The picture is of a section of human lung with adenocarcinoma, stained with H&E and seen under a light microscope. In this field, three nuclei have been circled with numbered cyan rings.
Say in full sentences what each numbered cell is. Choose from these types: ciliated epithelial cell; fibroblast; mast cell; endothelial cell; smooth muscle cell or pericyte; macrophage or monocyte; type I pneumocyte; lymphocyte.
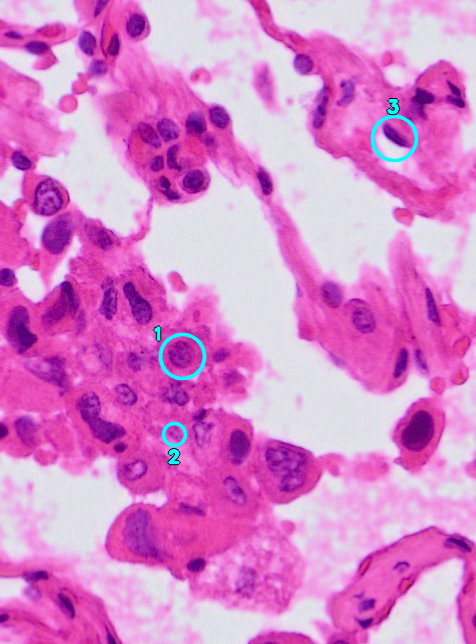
Cell 1 is a macrophage or monocyte, cell 2 is a macrophage or monocyte and cell 3 is a type I pneumocyte.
